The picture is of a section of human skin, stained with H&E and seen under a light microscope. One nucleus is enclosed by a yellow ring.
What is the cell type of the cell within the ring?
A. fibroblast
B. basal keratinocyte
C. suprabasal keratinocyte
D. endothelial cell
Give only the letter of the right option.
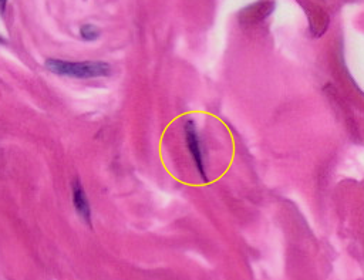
A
